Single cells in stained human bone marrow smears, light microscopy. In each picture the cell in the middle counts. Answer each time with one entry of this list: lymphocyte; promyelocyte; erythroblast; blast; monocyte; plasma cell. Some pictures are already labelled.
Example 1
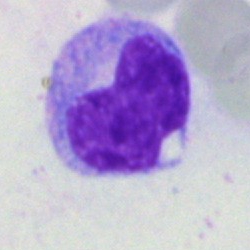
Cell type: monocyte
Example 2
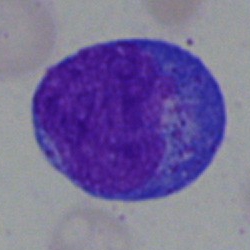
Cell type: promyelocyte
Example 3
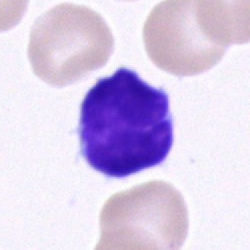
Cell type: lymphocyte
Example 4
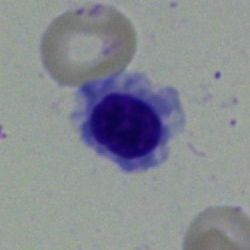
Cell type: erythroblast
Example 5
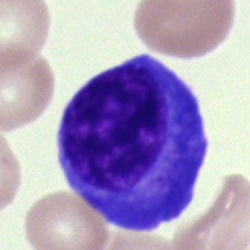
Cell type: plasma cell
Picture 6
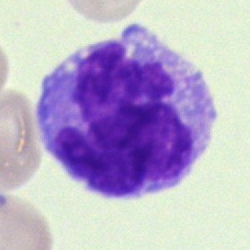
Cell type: monocyte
